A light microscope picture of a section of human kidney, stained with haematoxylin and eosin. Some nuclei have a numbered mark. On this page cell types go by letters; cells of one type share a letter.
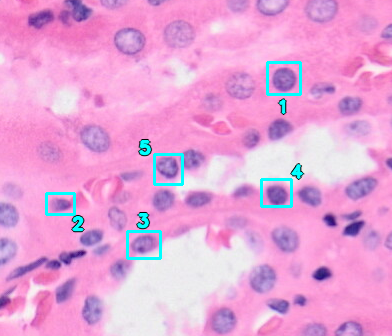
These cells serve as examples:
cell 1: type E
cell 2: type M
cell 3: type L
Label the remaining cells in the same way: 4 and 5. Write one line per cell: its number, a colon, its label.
4: type L
5: type L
